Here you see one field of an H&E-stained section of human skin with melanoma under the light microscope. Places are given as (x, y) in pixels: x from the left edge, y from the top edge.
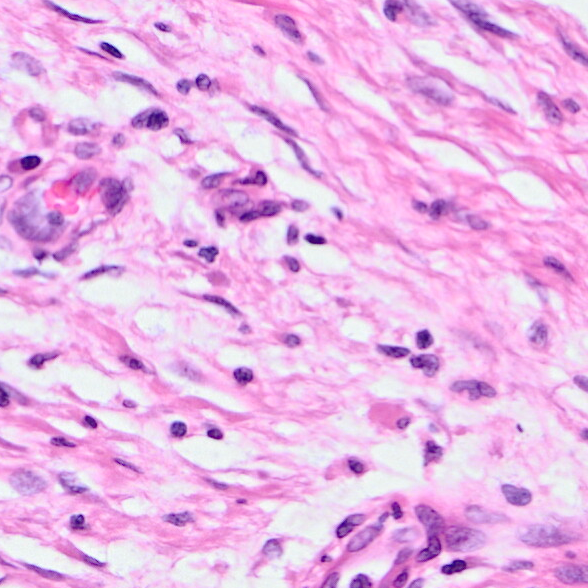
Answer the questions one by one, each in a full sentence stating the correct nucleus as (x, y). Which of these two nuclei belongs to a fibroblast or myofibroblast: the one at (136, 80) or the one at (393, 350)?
Among the two, the nucleus at (136, 80) is the nucleus of a fibroblast or myofibroblast.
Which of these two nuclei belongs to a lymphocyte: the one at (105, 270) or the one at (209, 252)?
Which one belongs to a lymphocyte? The nucleus at (209, 252) does.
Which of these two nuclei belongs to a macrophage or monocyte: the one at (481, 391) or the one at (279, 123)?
Which one belongs to a macrophage or monocyte? The nucleus at (481, 391) does.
